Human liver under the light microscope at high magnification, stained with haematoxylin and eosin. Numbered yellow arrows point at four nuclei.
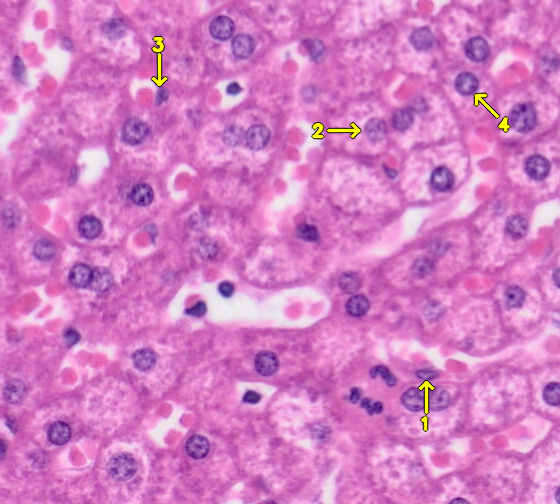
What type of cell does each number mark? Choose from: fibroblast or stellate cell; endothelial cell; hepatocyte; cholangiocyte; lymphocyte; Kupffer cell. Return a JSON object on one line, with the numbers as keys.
{"1": "Kupffer cell", "2": "hepatocyte", "3": "endothelial cell", "4": "hepatocyte"}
